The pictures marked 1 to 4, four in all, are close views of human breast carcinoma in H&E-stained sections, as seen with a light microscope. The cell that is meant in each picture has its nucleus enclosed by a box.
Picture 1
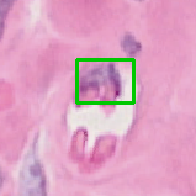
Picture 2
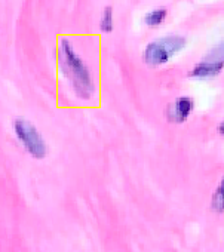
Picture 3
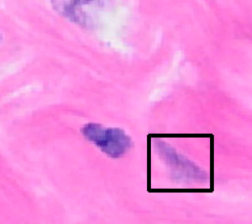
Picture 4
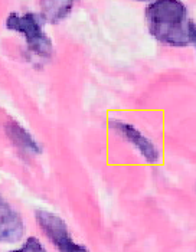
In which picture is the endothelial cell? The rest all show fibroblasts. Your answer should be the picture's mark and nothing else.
1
